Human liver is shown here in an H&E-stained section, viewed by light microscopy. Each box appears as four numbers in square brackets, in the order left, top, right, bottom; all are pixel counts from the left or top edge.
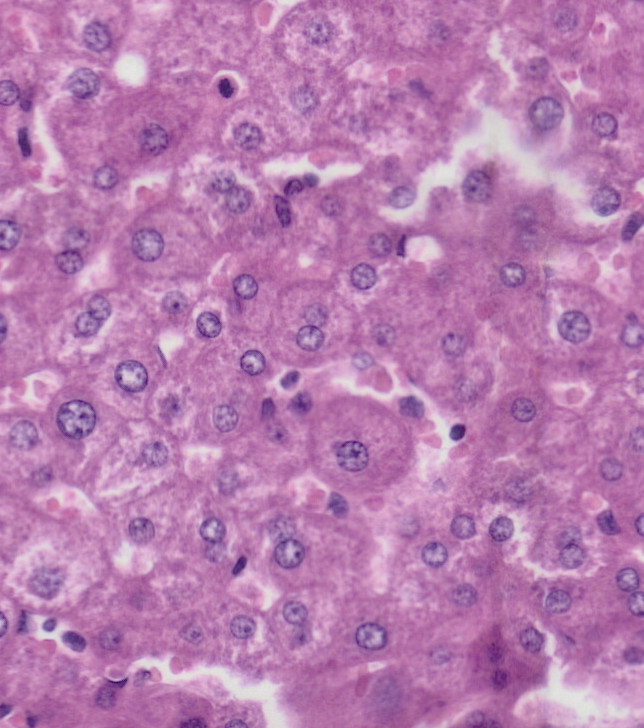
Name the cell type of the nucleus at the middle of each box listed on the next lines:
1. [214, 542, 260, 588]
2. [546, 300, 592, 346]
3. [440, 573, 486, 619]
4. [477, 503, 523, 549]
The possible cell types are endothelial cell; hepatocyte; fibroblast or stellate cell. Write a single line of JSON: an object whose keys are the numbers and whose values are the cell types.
{"1": "fibroblast or stellate cell", "2": "hepatocyte", "3": "hepatocyte", "4": "hepatocyte"}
